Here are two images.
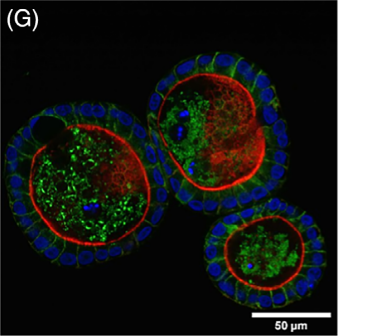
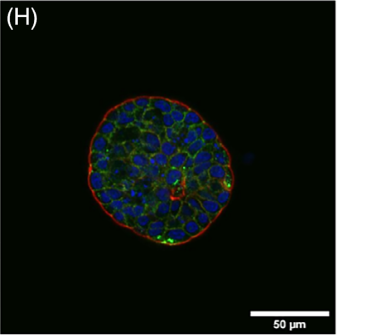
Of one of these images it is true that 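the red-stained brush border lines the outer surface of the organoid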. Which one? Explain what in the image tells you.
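First image: the red ring lines the inner, lumen-facing surface of each organoid. Second image: the red ring runs around the outside of the organoid with no central lumen.
Conclusion: the second image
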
